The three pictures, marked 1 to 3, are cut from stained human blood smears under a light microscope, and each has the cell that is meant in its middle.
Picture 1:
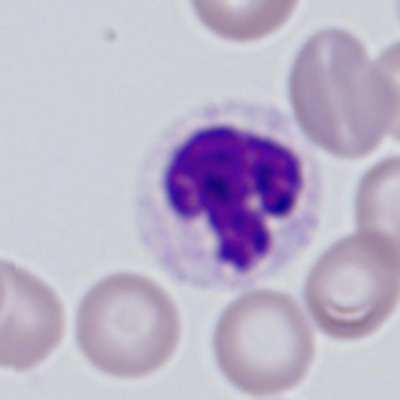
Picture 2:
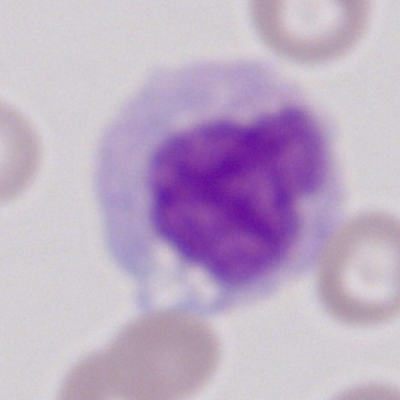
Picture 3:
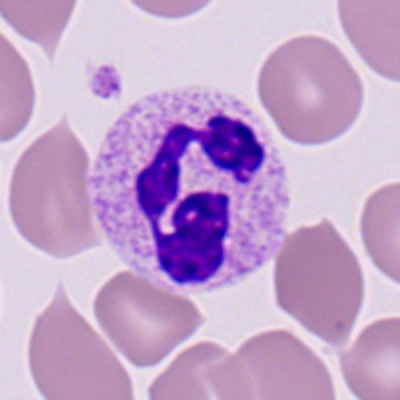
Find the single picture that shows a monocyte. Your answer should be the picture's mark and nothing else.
2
